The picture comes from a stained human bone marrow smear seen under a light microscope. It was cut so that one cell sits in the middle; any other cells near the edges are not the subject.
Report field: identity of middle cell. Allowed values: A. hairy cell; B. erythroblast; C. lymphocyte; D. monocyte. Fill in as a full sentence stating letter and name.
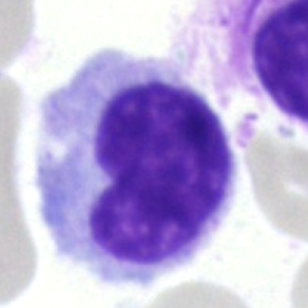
With the cell in the middle being a monocyte, option D is the correct choice.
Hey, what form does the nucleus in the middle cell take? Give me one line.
A single compact nucleus is present, shaped round, oval or like a kidney.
